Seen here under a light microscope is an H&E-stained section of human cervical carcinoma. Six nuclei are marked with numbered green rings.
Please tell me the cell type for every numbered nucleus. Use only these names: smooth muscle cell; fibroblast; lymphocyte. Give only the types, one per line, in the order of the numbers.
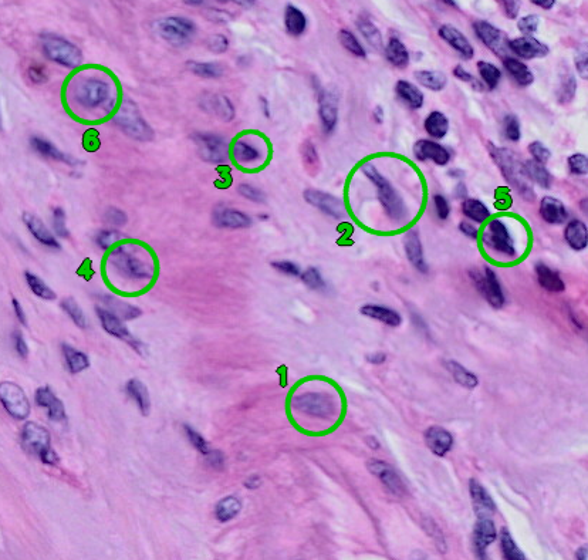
smooth muscle cell
fibroblast
smooth muscle cell
smooth muscle cell
lymphocyte
smooth muscle cell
